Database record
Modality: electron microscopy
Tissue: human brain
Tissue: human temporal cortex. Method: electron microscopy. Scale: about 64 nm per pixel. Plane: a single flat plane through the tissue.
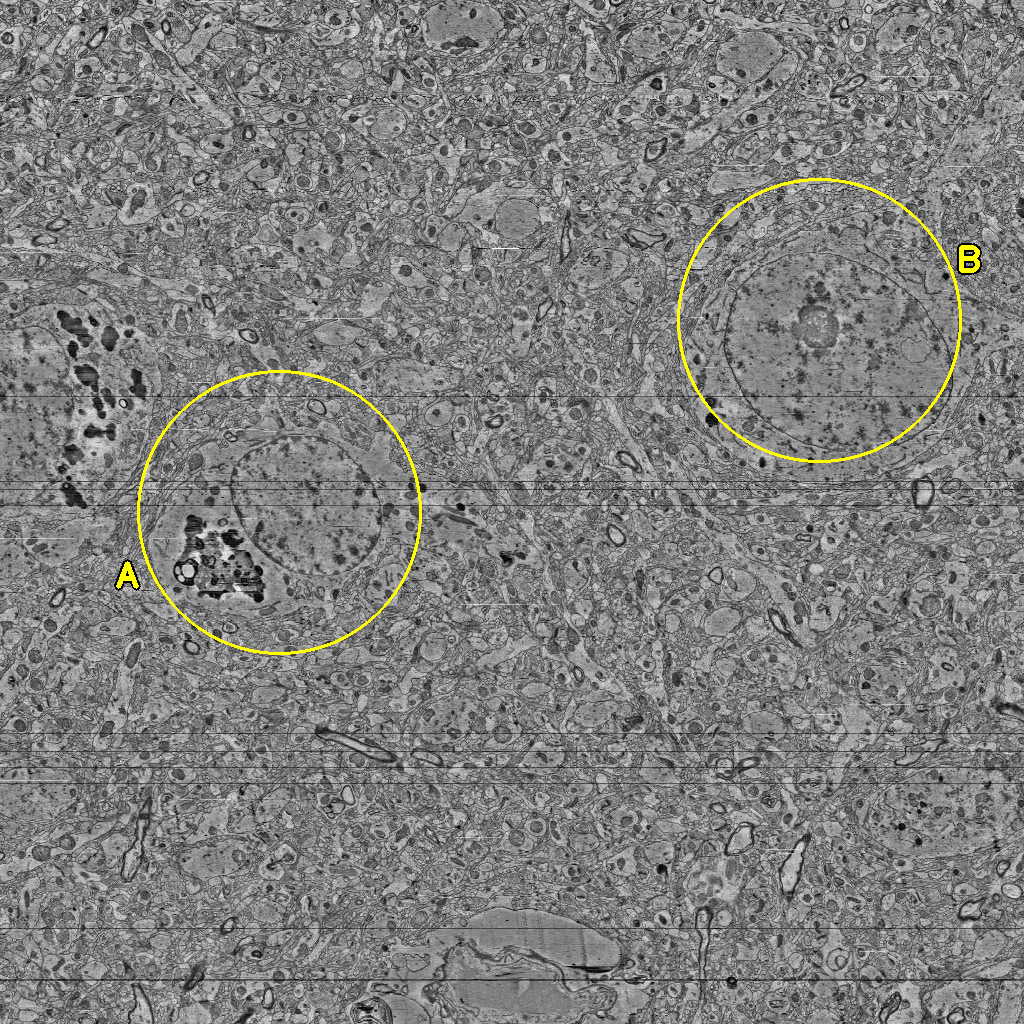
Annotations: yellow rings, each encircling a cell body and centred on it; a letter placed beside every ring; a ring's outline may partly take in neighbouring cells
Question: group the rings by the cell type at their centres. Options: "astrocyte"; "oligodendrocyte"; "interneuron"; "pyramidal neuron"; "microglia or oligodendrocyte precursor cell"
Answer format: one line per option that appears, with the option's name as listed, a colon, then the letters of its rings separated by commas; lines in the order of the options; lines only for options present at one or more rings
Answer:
astrocyte: A
pyramidal neuron: B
